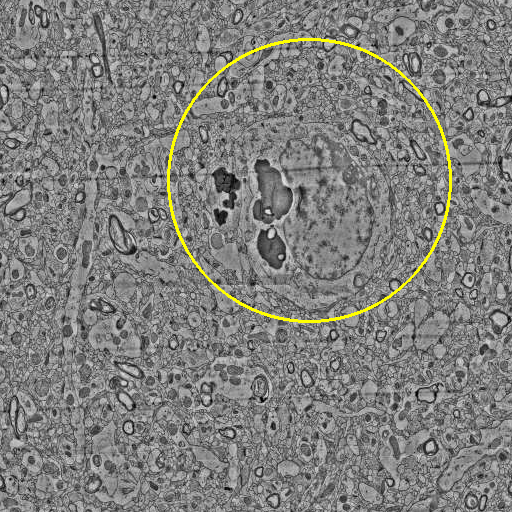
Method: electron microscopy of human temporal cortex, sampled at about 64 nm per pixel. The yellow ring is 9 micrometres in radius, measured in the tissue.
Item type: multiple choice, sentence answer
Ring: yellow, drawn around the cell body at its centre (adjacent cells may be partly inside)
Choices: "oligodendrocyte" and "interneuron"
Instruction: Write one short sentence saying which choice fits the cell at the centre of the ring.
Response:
This ring is drawn around an interneuron.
